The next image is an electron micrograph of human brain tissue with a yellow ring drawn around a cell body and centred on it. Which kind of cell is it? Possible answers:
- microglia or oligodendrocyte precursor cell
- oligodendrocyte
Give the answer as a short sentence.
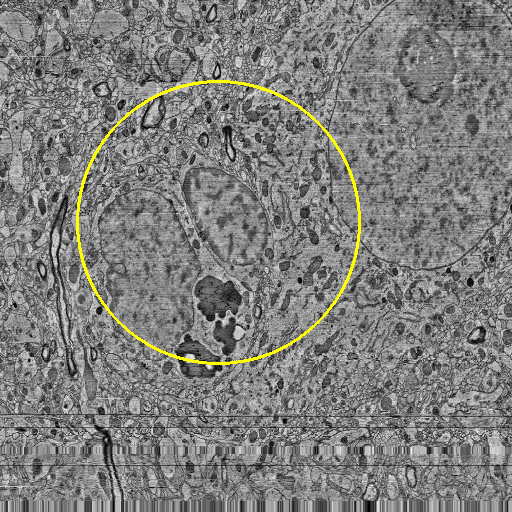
In the ring's centre is an oligodendrocyte.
